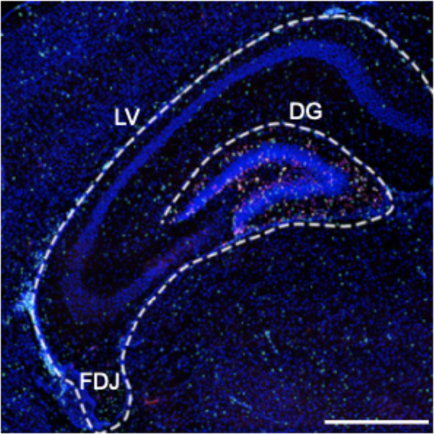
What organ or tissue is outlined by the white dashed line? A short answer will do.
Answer: Hippocampi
